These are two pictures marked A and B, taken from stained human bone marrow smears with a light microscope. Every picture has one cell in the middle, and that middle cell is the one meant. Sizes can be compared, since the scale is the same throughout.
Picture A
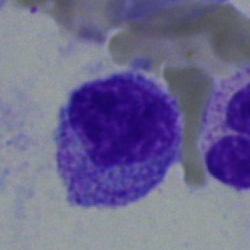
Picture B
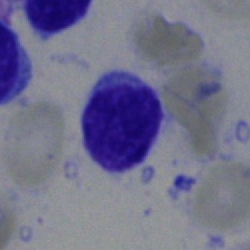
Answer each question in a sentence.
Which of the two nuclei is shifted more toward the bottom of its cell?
It is the nucleus in picture B that lies further toward the bottom of its cell.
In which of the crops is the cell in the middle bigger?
The cell in picture A is larger, with about 2 times the area of the one in picture B.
